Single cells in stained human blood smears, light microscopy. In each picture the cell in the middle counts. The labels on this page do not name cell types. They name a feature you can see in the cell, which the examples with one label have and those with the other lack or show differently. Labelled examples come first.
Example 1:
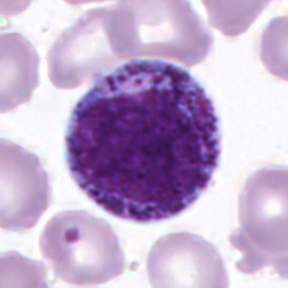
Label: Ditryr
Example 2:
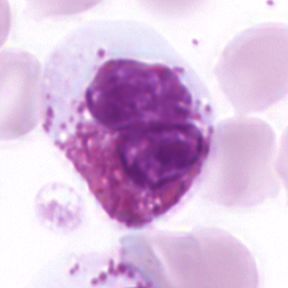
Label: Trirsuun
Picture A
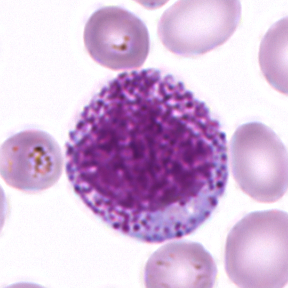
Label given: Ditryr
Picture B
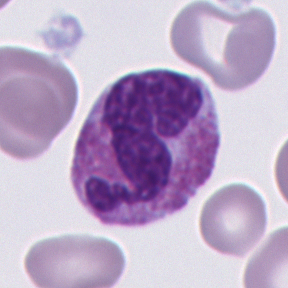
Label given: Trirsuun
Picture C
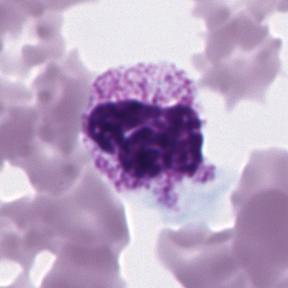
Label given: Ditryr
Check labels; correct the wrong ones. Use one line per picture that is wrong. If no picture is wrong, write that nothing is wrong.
Nothing to fix; every label fits.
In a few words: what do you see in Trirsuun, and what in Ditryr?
Seen in Trirsuun: fine or small granules; seen in Ditryr: coarse or large granules.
